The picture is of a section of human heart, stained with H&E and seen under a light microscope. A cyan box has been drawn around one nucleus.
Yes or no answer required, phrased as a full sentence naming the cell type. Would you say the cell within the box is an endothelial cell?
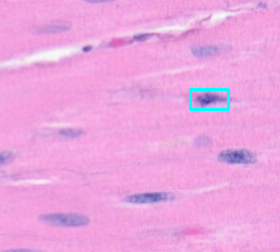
Yes, the cell within the box is correctly named as an endothelial cell.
